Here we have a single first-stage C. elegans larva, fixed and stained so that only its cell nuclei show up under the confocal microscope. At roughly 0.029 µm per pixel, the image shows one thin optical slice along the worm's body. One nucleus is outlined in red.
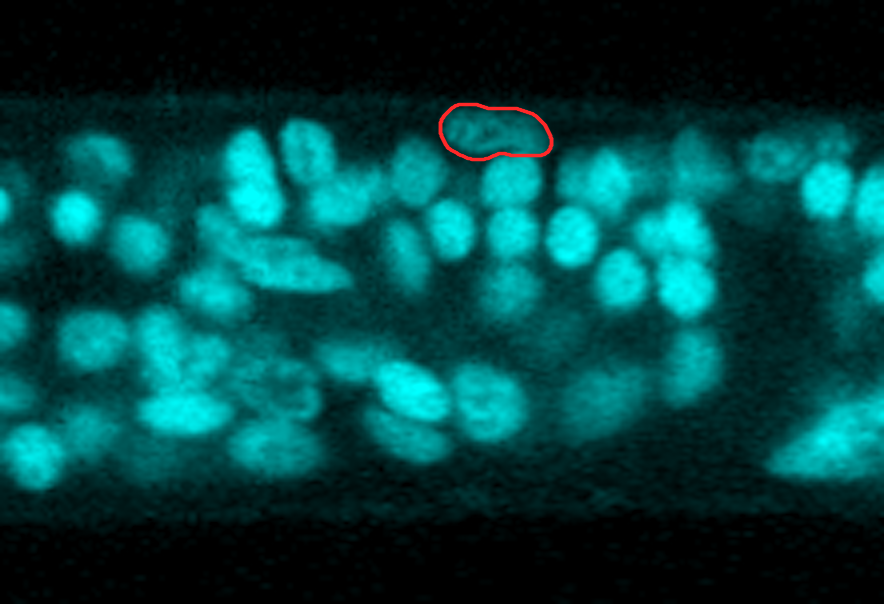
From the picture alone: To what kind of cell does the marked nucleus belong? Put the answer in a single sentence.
The nucleus comes from a hypodermal cell (hyp).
